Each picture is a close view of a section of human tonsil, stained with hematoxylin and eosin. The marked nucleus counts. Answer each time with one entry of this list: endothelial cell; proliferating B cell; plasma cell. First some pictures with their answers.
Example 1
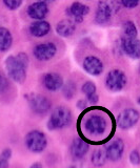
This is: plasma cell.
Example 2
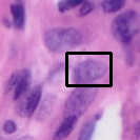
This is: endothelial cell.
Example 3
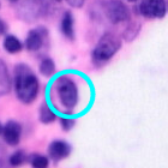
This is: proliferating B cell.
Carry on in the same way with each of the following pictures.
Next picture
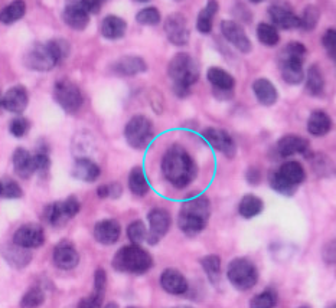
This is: proliferating B cell.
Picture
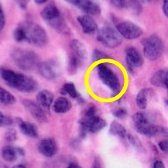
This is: proliferating B cell.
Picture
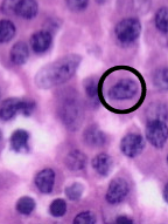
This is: plasma cell.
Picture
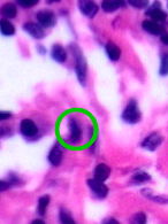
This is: endothelial cell.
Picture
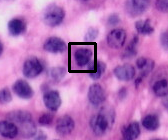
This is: plasma cell.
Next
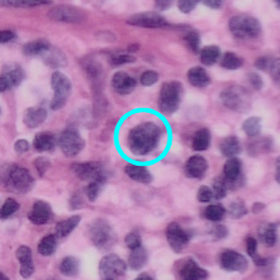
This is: proliferating B cell.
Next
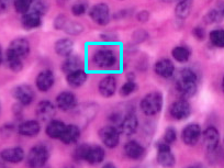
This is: plasma cell.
